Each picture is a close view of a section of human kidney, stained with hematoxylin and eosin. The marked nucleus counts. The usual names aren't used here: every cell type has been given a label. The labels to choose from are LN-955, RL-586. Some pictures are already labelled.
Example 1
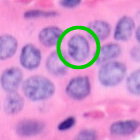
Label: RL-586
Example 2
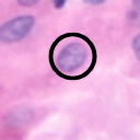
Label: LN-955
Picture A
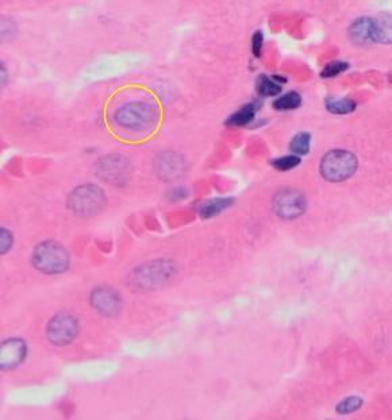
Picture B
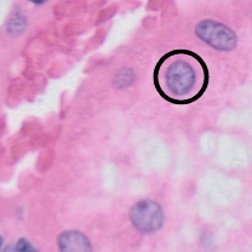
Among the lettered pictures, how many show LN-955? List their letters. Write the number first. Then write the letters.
2: A, B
